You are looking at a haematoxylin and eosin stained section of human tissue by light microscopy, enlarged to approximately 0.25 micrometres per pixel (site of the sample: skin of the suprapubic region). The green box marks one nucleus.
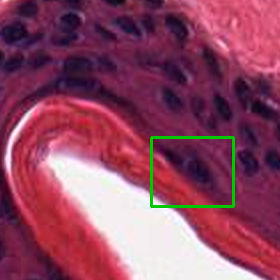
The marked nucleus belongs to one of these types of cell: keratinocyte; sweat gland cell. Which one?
keratinocyte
